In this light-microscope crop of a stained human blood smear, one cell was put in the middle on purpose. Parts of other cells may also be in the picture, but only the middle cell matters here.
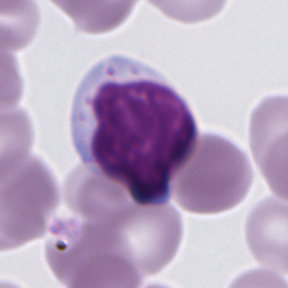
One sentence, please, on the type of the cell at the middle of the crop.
By classification, the middle cell of this crop is a large granular lymphocyte.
